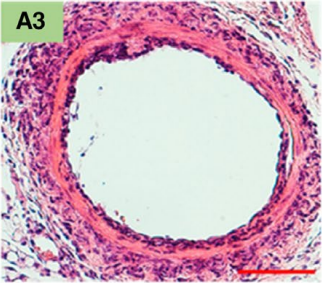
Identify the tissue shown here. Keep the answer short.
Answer: Arteries.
